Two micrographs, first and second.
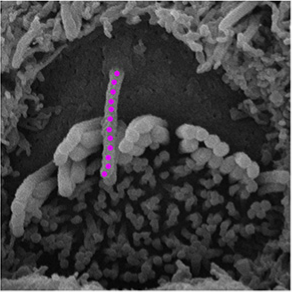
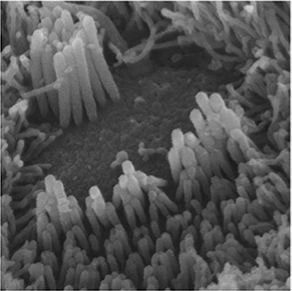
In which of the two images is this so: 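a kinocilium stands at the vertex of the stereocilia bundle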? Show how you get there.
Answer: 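Second image: clumped stereocilia with no long single process among them.
Conclusion: the first image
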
